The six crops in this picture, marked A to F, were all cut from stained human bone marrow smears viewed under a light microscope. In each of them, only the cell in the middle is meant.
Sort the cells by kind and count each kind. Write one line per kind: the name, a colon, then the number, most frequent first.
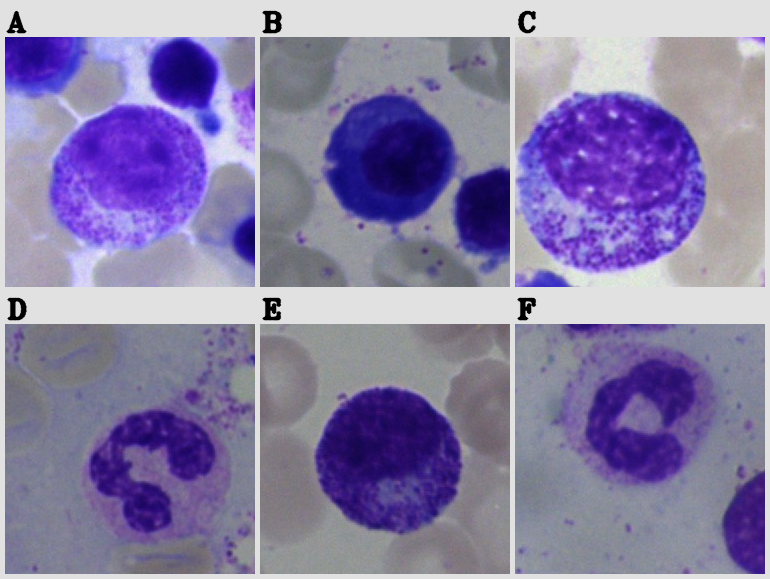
myelocyte: 3
segmented neutrophil: 2
plasma cell: 1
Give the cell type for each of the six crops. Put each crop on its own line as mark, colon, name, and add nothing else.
A: myelocyte
B: plasma cell
C: myelocyte
D: segmented neutrophil
E: myelocyte
F: segmented neutrophil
